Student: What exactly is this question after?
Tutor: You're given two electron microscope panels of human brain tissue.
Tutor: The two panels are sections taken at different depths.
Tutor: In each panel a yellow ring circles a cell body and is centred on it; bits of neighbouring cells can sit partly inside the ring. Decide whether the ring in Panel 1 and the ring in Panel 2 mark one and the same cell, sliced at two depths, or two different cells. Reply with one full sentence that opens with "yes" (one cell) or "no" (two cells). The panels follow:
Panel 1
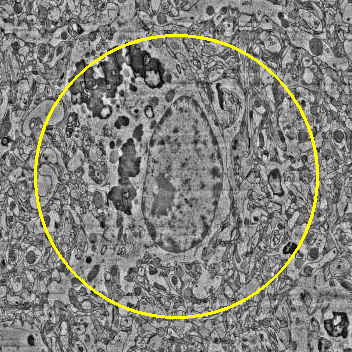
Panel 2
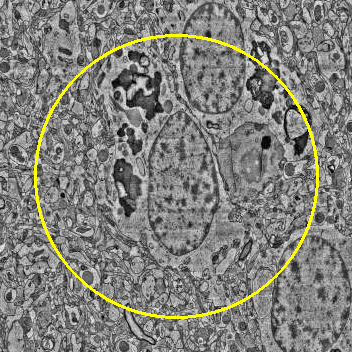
Yes, the same cell turns up inside each of the two rings.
